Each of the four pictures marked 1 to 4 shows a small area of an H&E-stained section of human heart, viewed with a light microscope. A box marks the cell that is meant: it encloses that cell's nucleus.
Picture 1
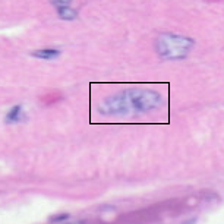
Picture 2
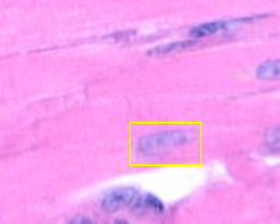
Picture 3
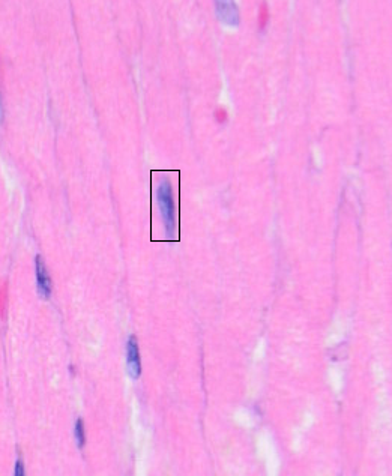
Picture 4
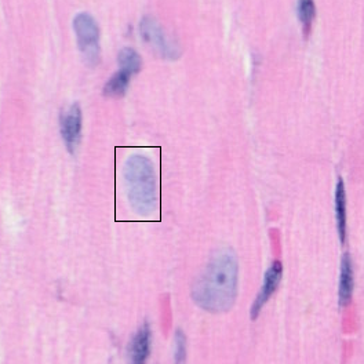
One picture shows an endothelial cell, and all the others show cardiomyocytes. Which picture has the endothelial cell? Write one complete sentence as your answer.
Picture 3 shows the endothelial cell.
